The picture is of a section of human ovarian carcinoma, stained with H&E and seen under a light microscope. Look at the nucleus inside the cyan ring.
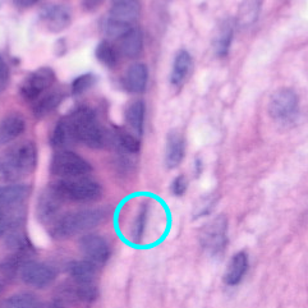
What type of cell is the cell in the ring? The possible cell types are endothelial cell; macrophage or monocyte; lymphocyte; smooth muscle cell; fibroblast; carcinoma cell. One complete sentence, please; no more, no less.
Labelled by cell type, the cell in the ring is a macrophage or monocyte.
